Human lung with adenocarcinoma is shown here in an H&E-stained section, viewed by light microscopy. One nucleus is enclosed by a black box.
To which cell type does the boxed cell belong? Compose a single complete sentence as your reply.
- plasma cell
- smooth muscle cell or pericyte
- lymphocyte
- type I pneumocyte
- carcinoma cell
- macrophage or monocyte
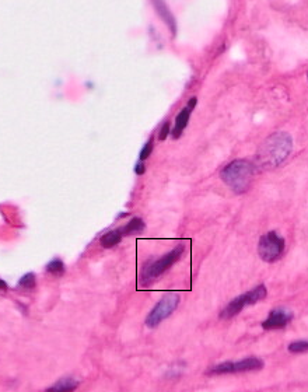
Typologically, the boxed cell is a smooth muscle cell or pericyte in this section.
